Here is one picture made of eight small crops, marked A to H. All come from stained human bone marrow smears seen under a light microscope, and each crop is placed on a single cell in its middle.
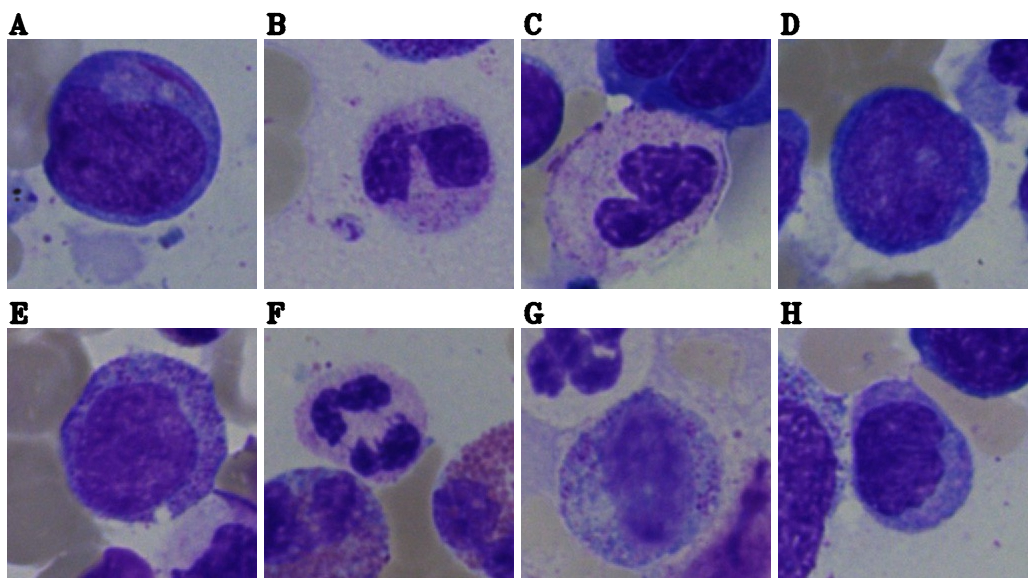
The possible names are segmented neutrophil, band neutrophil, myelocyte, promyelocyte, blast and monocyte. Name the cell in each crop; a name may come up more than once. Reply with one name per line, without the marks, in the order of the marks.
blast
segmented neutrophil
band neutrophil
blast
promyelocyte
segmented neutrophil
myelocyte
monocyte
